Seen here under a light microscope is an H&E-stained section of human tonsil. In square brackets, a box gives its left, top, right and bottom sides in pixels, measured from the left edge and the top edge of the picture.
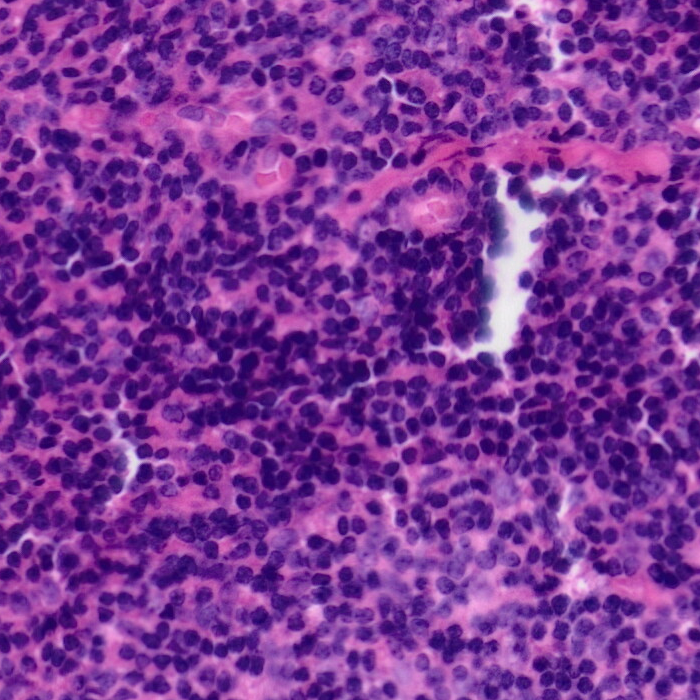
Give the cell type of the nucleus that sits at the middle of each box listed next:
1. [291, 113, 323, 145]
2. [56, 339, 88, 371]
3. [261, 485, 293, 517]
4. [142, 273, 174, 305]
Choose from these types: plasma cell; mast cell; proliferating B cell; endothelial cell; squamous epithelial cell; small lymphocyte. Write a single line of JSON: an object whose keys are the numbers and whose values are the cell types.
{"1": "plasma cell", "2": "small lymphocyte", "3": "small lymphocyte", "4": "small lymphocyte"}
